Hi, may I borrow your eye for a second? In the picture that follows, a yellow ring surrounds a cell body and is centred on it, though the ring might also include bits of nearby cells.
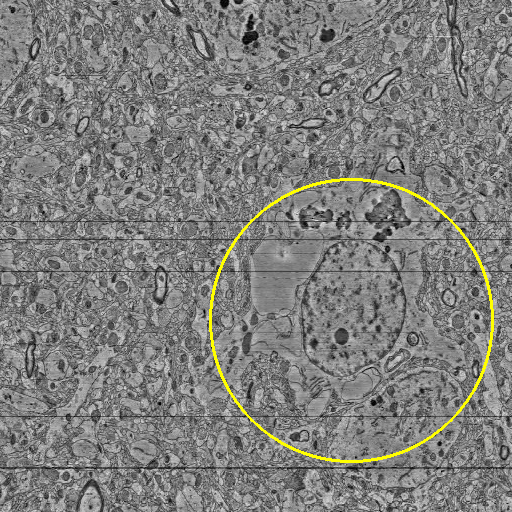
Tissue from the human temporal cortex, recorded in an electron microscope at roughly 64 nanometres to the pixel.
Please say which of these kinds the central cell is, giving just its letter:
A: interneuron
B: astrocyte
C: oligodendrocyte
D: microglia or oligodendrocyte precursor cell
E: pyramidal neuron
B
